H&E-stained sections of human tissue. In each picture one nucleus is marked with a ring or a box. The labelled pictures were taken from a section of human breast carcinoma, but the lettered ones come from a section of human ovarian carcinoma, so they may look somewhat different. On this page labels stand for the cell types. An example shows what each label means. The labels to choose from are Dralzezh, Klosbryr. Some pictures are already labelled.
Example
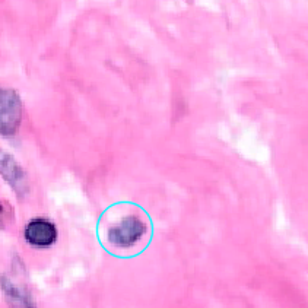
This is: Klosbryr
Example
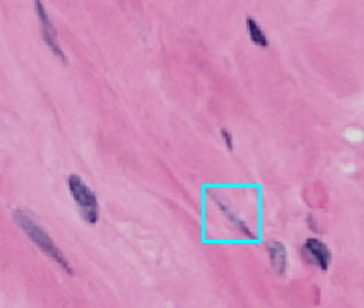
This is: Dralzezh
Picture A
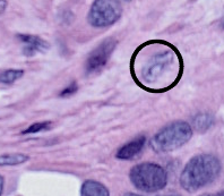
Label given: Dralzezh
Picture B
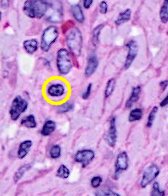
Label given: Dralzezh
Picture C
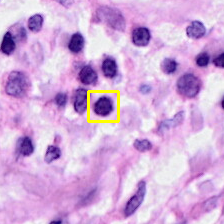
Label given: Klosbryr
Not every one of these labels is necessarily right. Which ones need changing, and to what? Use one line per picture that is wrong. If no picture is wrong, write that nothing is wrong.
B is labelled Dralzezh; correct label: Klosbryr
